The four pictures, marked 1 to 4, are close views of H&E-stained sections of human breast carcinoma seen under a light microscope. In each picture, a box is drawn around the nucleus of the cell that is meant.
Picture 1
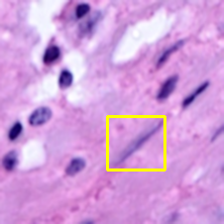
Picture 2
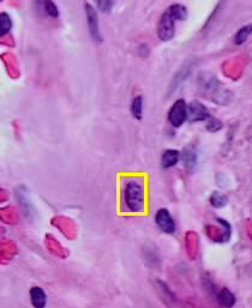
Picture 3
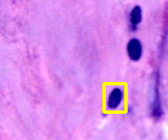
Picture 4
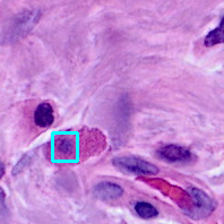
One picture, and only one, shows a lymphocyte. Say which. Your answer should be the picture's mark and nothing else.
3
